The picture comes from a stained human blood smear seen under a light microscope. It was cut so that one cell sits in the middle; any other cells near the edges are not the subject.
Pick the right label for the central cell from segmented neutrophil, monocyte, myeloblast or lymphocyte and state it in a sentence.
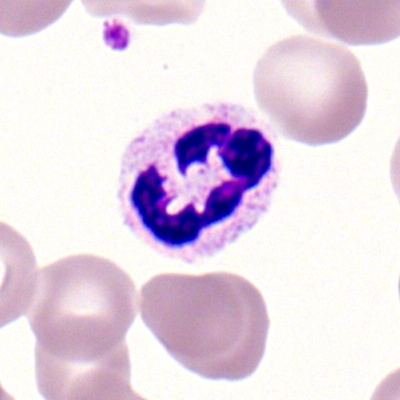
Classification of the middle cell gives a segmented neutrophil.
